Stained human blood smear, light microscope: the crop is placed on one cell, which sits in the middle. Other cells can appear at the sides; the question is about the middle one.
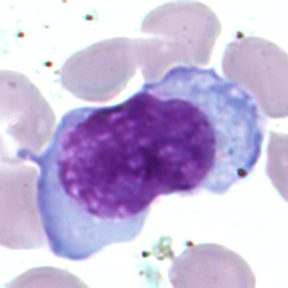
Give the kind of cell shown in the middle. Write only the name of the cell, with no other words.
plasma cell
